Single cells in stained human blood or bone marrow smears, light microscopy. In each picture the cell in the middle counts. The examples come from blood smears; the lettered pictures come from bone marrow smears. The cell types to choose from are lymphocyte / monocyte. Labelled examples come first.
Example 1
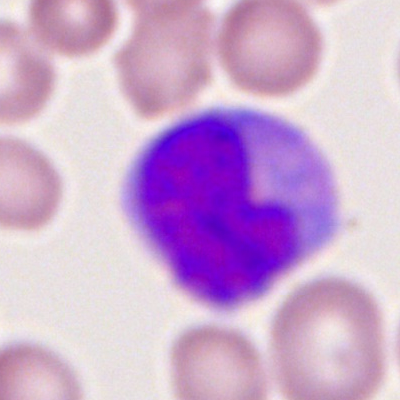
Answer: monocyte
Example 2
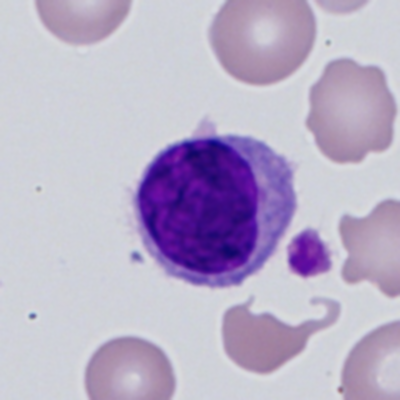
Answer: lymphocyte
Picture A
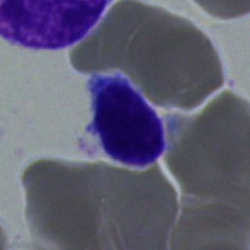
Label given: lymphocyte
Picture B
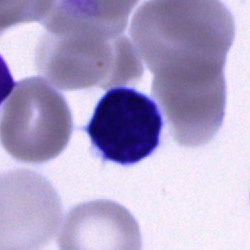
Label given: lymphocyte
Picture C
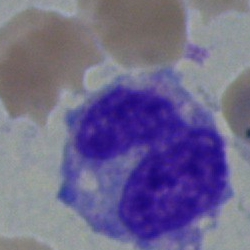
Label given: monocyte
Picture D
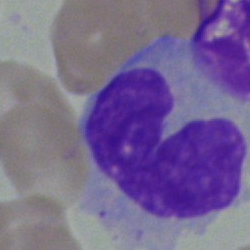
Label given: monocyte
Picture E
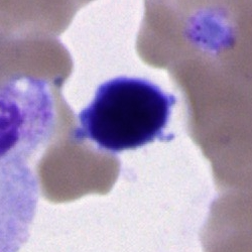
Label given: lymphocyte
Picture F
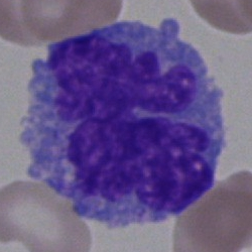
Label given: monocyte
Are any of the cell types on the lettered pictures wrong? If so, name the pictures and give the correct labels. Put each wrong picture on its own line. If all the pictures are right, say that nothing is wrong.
Every label is right.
